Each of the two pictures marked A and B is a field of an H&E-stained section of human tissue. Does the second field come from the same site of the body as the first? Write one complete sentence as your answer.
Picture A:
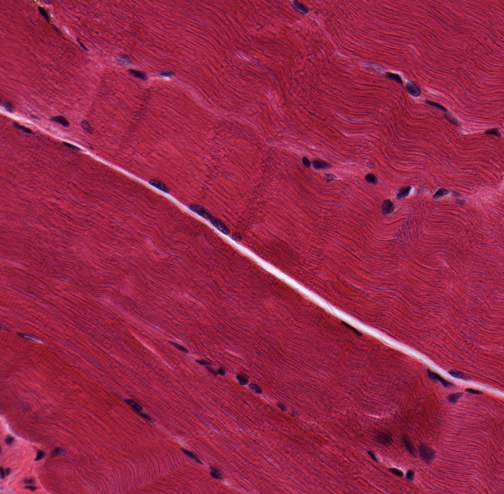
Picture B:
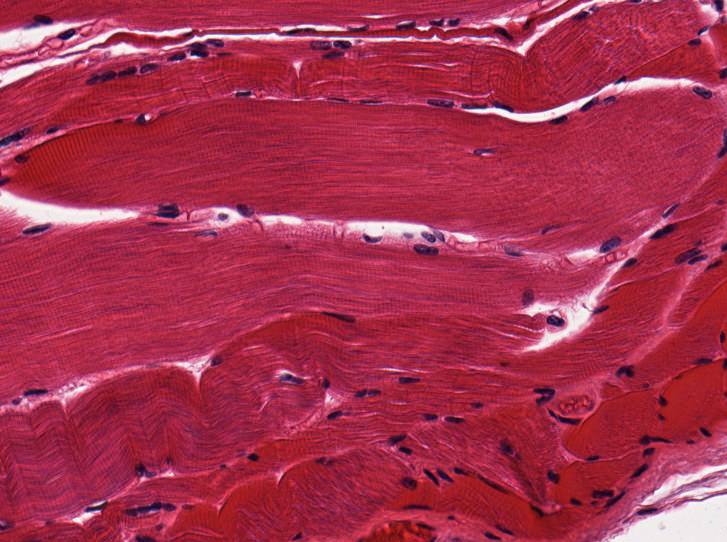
Yes, the two fields both come from skeletal muscle.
